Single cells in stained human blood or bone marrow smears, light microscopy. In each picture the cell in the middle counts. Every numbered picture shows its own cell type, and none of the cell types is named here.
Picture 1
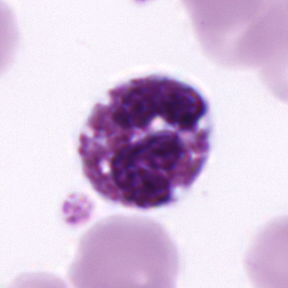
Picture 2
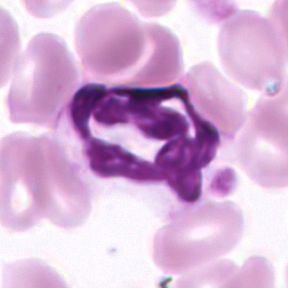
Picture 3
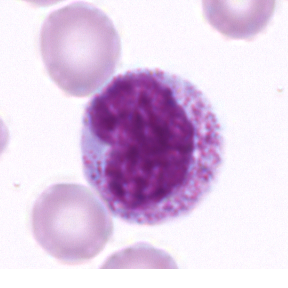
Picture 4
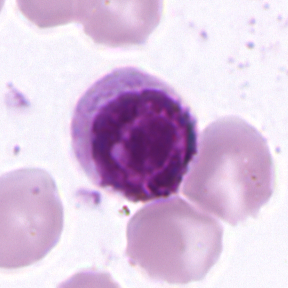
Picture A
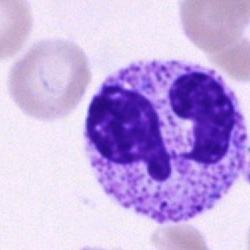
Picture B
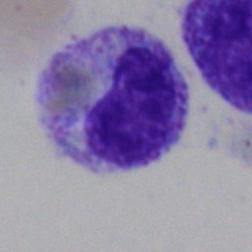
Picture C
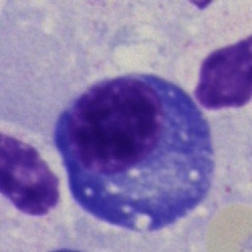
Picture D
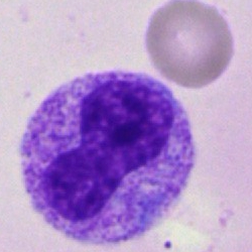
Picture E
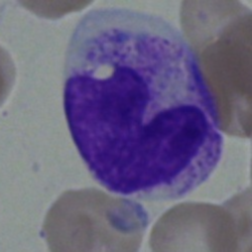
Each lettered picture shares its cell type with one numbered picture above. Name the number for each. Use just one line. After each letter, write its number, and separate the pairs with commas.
A 2, B 3, C 4, D 3, E 3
